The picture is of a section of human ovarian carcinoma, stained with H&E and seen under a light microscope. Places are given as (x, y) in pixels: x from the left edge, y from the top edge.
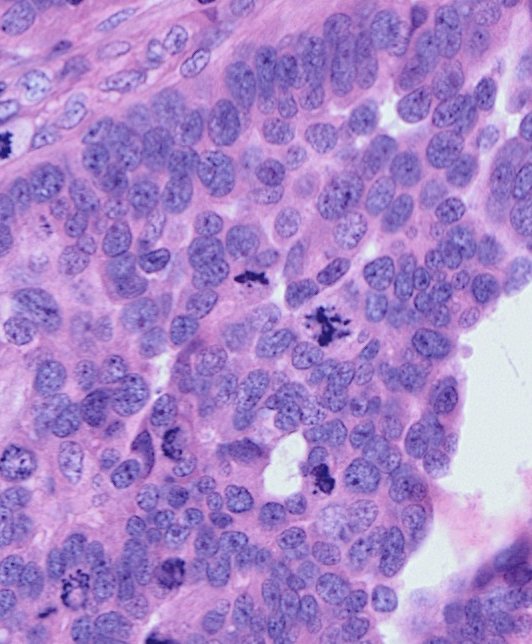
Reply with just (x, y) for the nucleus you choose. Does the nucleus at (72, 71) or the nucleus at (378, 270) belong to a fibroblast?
(72, 71)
